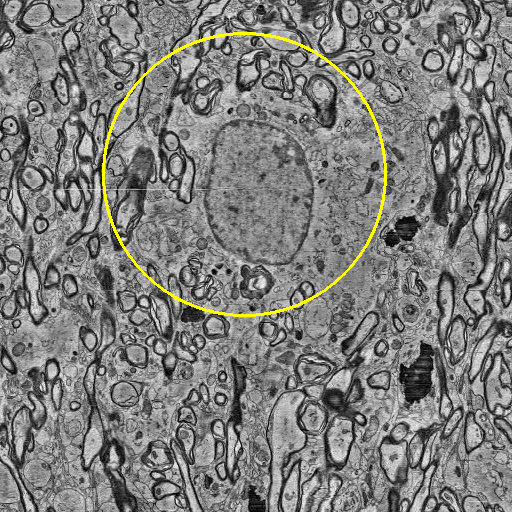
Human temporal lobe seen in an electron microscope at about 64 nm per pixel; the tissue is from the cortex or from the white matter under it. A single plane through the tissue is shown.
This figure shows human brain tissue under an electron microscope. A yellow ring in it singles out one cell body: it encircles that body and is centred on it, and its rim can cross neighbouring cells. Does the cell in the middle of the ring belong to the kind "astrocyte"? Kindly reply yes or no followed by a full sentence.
Yes, the kind asked about is right for the cell centred in the figure's ring.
